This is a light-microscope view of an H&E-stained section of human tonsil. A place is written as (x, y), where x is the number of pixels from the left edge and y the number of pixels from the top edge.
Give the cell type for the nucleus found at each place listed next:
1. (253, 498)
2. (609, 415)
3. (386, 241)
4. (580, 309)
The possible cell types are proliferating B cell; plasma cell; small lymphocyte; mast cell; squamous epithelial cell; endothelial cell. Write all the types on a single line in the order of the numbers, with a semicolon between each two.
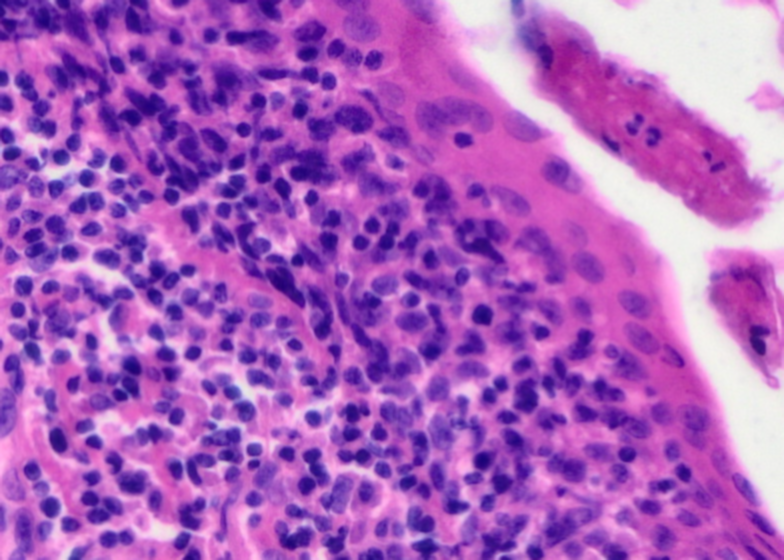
endothelial cell; squamous epithelial cell; squamous epithelial cell; squamous epithelial cell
